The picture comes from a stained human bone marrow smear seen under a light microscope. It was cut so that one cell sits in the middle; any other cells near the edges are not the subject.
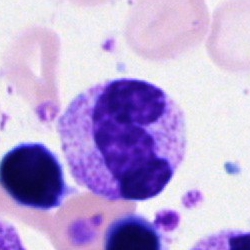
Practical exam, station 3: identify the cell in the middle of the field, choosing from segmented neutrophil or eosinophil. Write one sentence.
This crop is built around a segmented neutrophil at its centre.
